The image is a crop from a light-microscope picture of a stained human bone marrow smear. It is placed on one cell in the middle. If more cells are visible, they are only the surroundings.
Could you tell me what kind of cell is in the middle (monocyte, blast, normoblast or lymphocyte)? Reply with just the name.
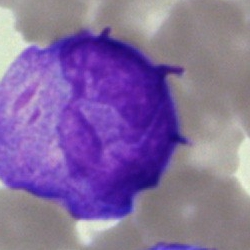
blast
